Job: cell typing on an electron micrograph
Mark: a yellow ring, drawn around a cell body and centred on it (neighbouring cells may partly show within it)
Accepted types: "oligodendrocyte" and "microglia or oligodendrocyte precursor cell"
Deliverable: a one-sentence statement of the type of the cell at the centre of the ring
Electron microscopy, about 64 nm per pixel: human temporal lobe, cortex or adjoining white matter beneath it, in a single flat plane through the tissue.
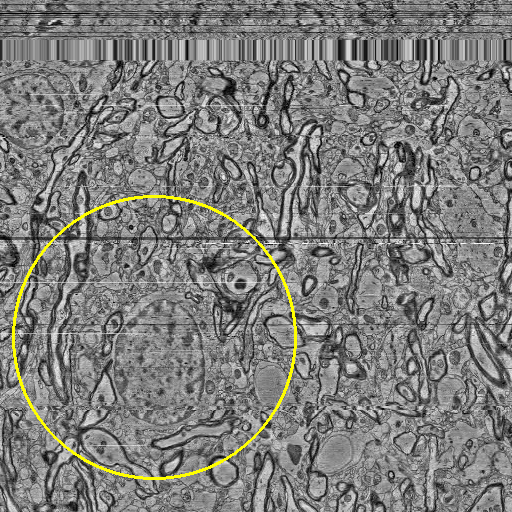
The centred cell body is that of an oligodendrocyte.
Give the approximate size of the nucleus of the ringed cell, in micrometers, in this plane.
The nucleus works out at approximately 8 by 6 micrometres in this plane.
